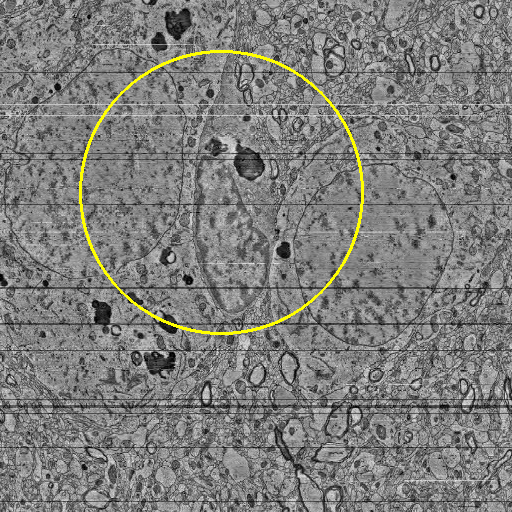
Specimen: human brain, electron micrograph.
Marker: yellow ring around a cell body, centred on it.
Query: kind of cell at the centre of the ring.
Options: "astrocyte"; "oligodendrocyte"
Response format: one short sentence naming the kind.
This cell body belongs to an oligodendrocyte.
